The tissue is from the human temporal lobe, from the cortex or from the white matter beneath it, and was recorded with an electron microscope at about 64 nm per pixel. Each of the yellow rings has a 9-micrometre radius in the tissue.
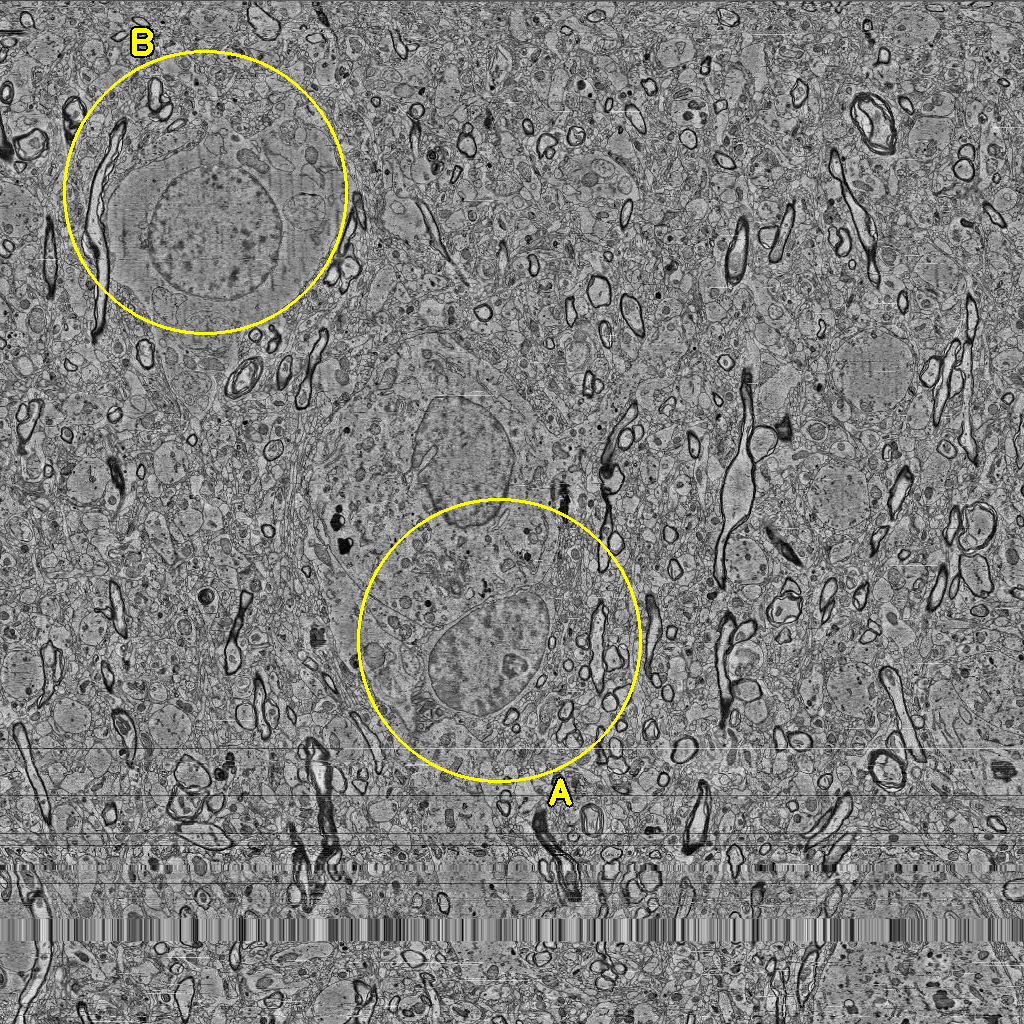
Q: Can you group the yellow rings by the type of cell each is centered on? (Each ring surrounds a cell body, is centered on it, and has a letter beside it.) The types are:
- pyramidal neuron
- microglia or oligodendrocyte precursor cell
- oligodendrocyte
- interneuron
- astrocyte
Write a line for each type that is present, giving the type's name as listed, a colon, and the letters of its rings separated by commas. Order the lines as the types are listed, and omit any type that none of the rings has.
oligodendrocyte: A
astrocyte: B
